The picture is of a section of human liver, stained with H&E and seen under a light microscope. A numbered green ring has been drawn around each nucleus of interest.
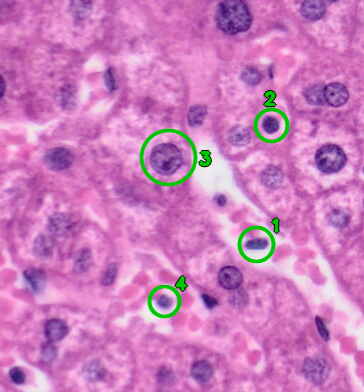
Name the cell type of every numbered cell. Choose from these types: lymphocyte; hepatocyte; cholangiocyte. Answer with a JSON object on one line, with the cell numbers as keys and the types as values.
{"1": "lymphocyte", "2": "lymphocyte", "3": "hepatocyte", "4": "lymphocyte"}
